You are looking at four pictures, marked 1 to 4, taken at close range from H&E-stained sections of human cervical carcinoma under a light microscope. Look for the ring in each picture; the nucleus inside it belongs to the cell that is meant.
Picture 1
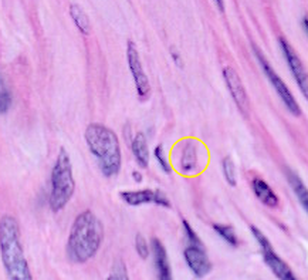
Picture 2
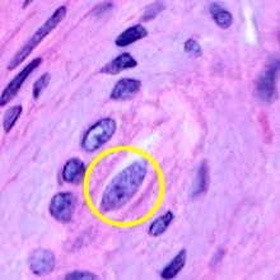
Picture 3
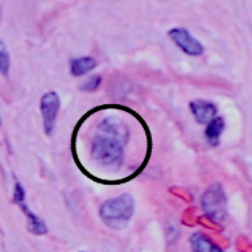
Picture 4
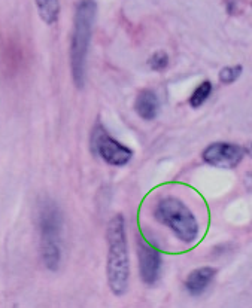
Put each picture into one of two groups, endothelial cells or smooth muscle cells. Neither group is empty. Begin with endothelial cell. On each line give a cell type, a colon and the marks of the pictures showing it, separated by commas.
endothelial cell: 2, 3, 4
smooth muscle cell: 1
